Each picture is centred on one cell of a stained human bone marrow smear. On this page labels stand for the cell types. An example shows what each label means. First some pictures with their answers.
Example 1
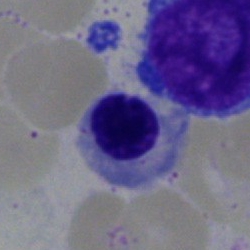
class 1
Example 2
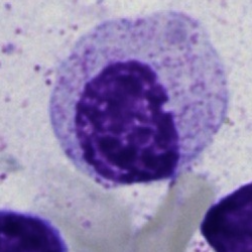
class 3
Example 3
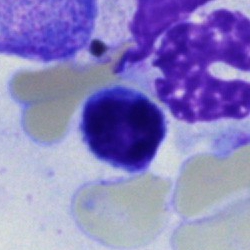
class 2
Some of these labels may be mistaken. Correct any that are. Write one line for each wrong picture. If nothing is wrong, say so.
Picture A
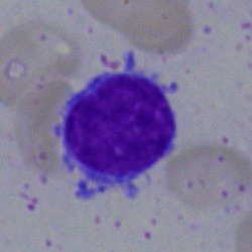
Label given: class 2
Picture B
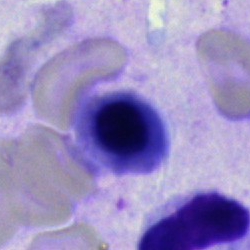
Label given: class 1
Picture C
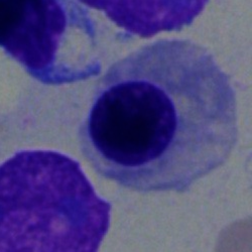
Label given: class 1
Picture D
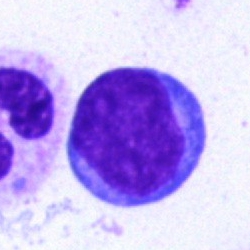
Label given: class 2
None of the labels needs changing.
